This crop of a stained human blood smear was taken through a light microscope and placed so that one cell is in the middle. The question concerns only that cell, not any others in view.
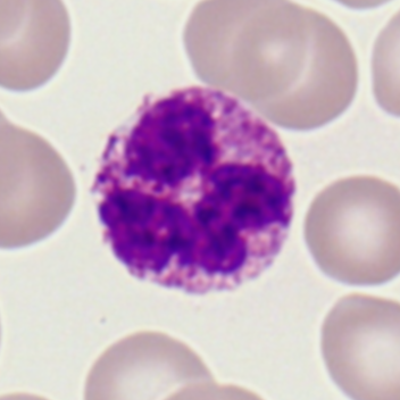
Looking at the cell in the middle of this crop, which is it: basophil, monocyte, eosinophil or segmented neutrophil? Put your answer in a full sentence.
The cell in the middle of the field of view is a basophil.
